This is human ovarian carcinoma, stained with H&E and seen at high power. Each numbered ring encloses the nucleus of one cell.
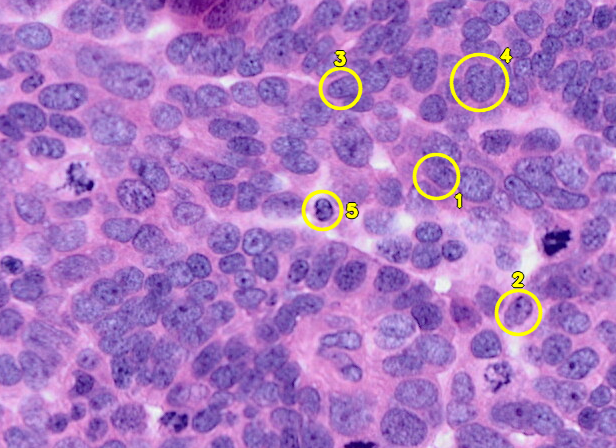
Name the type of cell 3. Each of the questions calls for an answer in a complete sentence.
The identity of cell 3 is that of a carcinoma cell.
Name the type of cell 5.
The identity of cell 5 is that of a lymphocyte.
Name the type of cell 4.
The cell pointed out as number 4 is a carcinoma cell.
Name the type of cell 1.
The cell that bears the number 1 is a carcinoma cell.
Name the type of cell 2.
The marked nucleus 2 is that of a macrophage or monocyte.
